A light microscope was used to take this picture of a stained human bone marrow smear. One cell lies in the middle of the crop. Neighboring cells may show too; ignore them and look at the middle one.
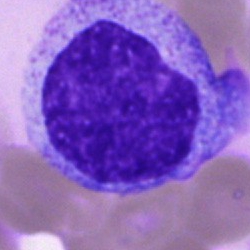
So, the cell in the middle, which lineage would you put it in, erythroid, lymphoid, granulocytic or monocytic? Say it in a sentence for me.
Classified by lineage, the middle cell is granulocytic.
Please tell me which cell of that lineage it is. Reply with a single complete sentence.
The cell in the middle of this crop is a promyelocyte.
